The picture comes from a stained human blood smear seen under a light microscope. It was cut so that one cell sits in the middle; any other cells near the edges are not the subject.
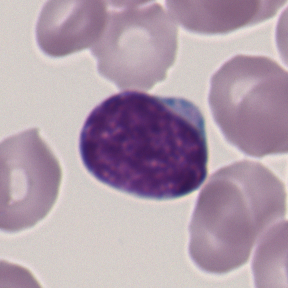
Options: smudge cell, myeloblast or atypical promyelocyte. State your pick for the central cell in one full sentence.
Occupying the centre of the crop is a myeloblast.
